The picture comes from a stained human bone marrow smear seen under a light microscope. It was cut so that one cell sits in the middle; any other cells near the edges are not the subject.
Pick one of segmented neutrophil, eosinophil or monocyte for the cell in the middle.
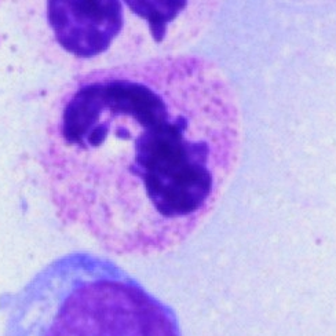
segmented neutrophil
